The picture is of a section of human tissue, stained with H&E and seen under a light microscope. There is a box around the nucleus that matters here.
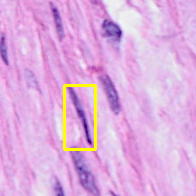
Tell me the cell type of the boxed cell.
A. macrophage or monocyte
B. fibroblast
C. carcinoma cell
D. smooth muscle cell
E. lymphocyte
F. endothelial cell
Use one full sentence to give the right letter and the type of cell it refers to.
Of the options offered, B is correct, as the boxed cell is a fibroblast.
